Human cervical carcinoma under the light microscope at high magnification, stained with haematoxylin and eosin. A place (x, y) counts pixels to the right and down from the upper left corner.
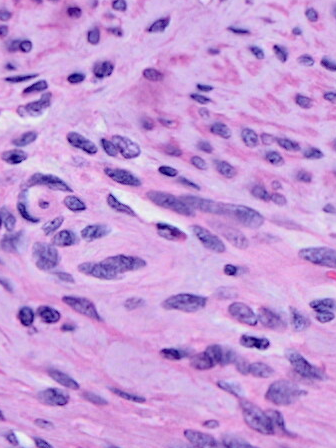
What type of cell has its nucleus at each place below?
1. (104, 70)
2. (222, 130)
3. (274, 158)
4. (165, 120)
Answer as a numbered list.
1. lymphocyte
2. smooth muscle cell
3. smooth muscle cell
4. smooth muscle cell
